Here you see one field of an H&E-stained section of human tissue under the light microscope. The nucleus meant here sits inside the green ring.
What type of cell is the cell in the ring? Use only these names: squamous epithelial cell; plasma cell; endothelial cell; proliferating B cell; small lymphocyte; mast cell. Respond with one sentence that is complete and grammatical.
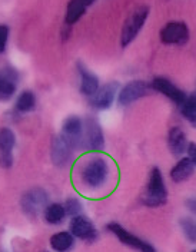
Speaking plainly, the cell in the ring is nothing other than a mast cell.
